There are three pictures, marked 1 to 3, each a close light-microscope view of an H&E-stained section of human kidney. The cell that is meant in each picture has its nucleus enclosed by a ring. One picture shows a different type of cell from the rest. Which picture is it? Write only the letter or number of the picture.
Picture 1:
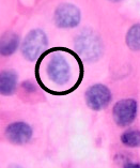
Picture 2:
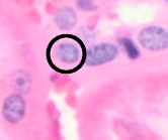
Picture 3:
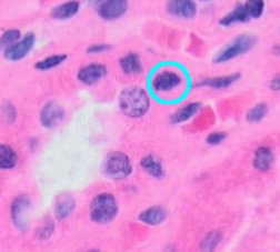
3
